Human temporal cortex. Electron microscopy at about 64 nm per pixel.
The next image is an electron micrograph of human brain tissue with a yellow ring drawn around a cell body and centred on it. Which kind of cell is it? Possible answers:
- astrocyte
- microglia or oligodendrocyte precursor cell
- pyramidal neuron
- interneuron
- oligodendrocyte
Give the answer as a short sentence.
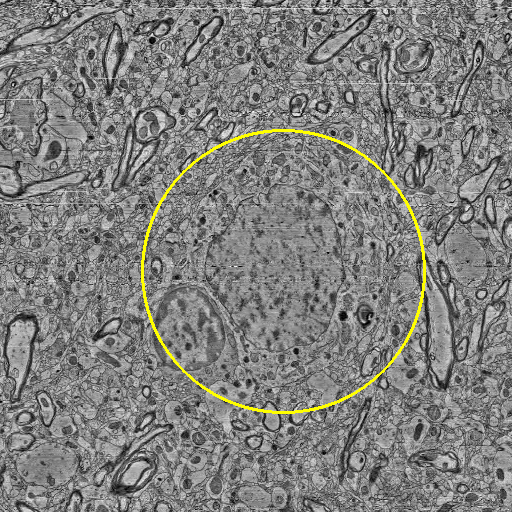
In the ring's centre is an interneuron.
